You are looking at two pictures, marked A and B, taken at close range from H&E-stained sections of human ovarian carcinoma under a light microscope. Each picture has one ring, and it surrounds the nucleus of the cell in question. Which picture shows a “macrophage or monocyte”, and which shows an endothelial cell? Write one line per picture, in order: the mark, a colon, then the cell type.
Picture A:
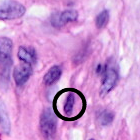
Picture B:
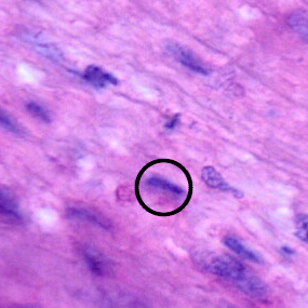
A: endothelial cell
B: macrophage or monocyte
